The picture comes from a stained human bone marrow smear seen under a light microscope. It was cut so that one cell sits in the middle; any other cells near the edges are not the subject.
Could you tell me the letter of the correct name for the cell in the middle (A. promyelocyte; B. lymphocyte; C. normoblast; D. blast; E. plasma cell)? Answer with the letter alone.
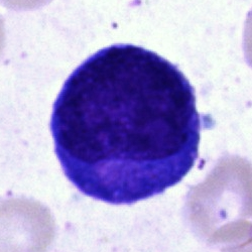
D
